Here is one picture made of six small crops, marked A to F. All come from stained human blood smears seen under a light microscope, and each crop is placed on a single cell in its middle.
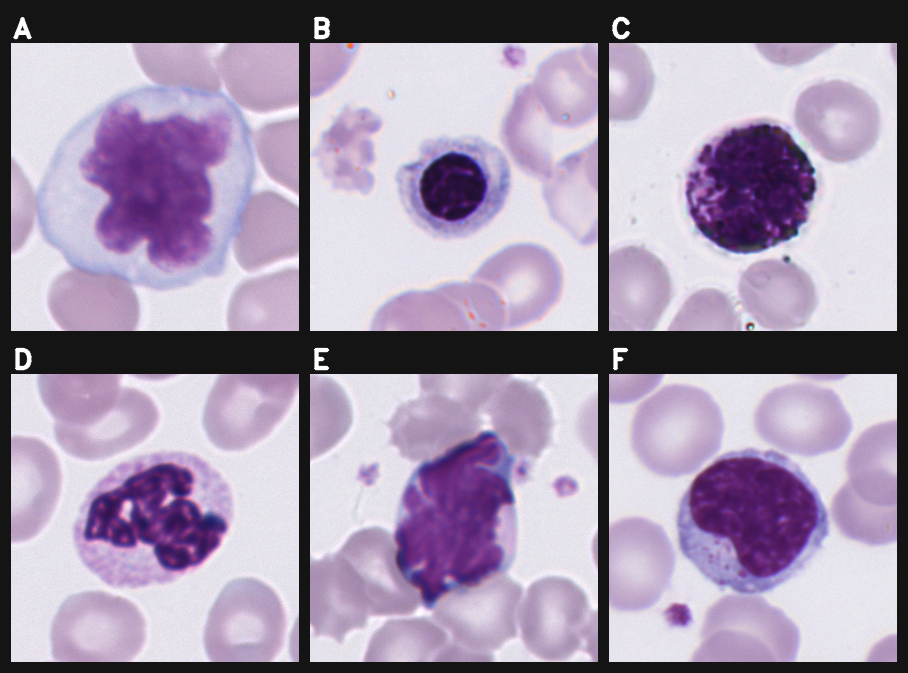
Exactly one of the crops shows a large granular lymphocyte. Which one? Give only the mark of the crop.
F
